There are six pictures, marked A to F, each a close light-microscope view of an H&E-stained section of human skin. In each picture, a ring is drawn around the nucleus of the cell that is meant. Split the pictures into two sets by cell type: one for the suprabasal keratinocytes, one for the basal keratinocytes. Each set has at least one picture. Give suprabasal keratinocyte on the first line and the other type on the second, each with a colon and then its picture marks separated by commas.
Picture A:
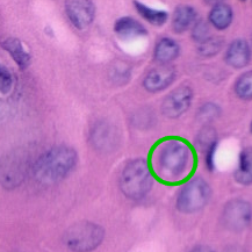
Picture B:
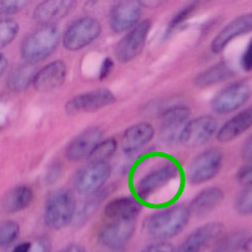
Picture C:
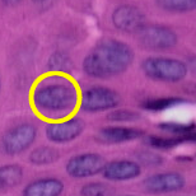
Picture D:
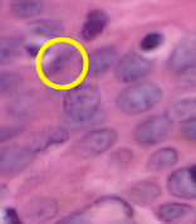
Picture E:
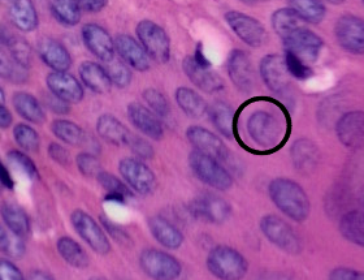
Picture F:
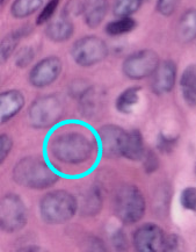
suprabasal keratinocyte: A, C, E, F
basal keratinocyte: B, D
